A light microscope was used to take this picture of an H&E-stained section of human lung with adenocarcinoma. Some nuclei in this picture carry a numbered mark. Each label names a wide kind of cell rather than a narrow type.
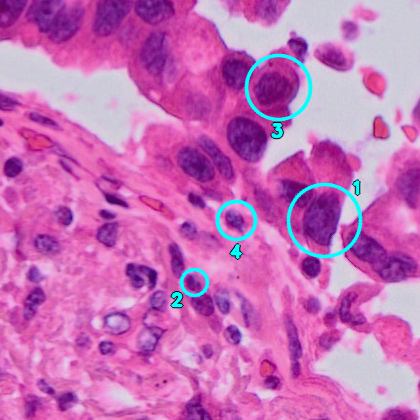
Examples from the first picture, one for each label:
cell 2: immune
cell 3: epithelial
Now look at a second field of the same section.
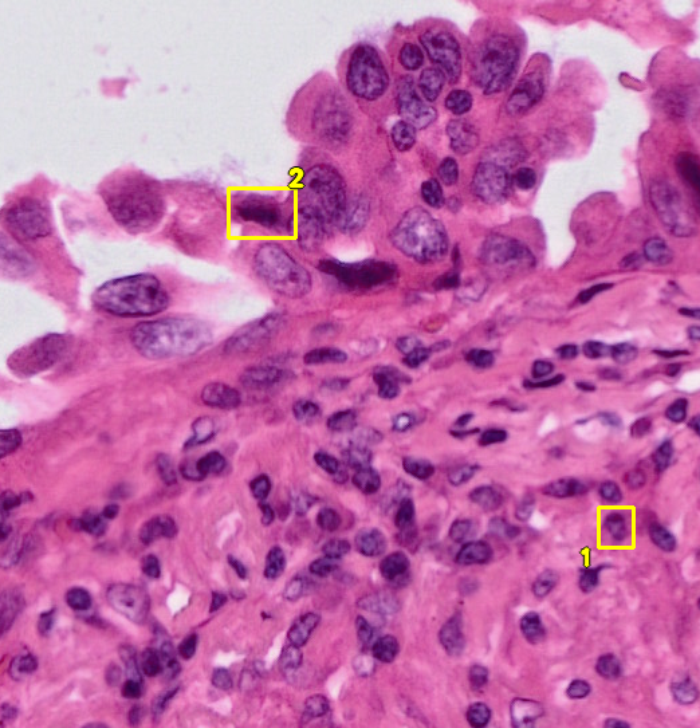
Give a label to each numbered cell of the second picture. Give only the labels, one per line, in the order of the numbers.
immune
epithelial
